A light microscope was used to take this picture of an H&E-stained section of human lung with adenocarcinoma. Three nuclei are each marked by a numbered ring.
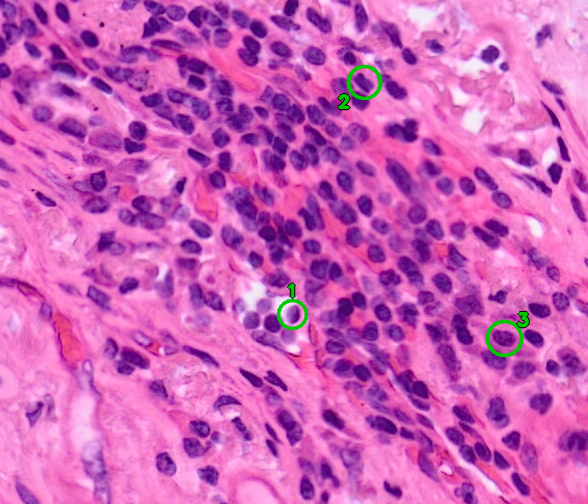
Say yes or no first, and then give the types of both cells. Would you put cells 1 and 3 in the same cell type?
No, cell 1 is a lymphocyte and cell 3 is a plasma cell.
